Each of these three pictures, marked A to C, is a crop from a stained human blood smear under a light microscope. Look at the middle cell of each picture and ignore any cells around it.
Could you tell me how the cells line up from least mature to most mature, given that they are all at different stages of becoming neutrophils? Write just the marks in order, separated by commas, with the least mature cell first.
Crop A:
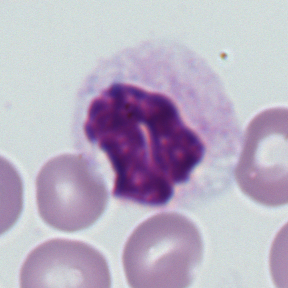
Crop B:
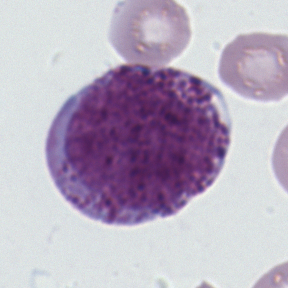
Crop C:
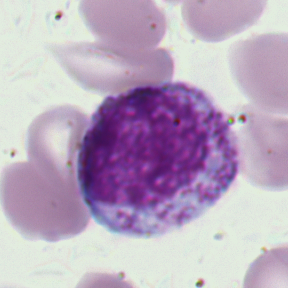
B, C, A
